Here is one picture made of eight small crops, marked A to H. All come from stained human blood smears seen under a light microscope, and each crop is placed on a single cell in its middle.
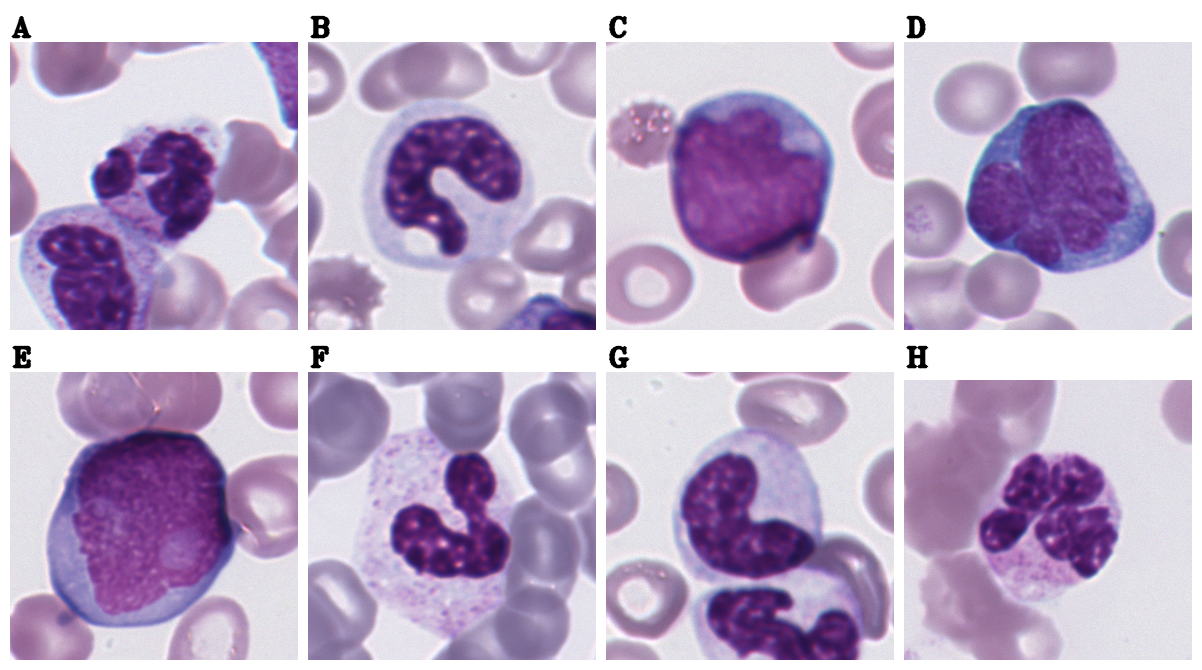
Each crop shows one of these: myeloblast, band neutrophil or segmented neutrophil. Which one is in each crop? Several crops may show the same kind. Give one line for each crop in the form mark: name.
A: segmented neutrophil
B: band neutrophil
C: myeloblast
D: myeloblast
E: myeloblast
F: segmented neutrophil
G: band neutrophil
H: segmented neutrophil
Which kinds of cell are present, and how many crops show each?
segmented neutrophil: 3
myeloblast: 3
band neutrophil: 2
